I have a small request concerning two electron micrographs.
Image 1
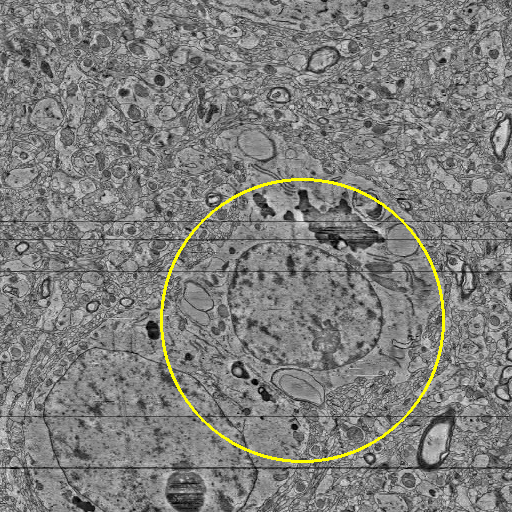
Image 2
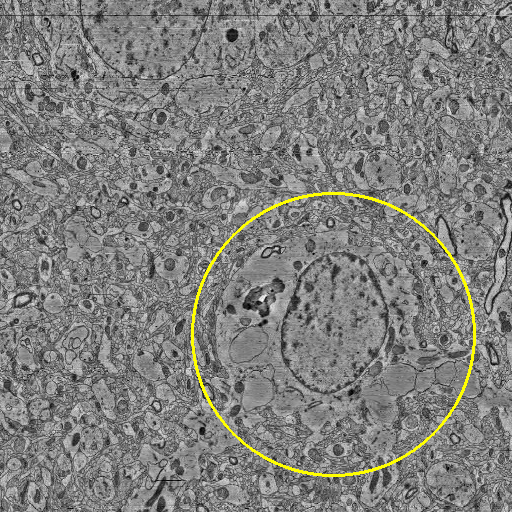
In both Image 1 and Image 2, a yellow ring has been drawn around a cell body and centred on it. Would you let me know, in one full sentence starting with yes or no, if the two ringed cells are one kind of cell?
Yes, the cells ringed in Image 1 and Image 2 are one kind of cell.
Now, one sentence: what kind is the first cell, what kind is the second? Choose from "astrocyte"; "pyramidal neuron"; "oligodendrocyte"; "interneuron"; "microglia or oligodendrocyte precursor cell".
Each one of the two ringed cells is an astrocyte.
